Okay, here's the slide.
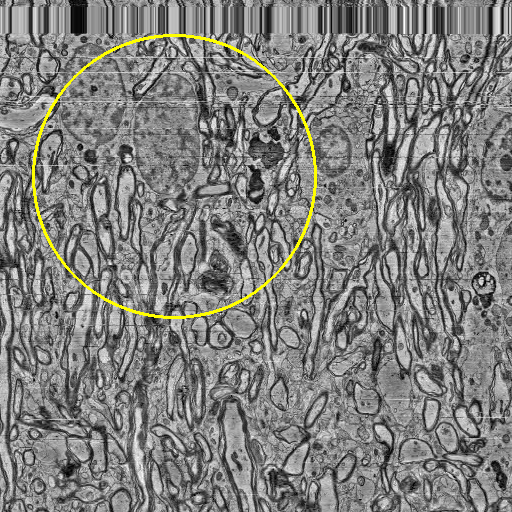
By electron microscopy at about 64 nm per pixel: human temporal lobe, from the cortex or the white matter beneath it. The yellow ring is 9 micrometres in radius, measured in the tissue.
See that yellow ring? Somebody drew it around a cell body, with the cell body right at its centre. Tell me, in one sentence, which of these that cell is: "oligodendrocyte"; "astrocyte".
The cell in the middle of the ring is an oligodendrocyte.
